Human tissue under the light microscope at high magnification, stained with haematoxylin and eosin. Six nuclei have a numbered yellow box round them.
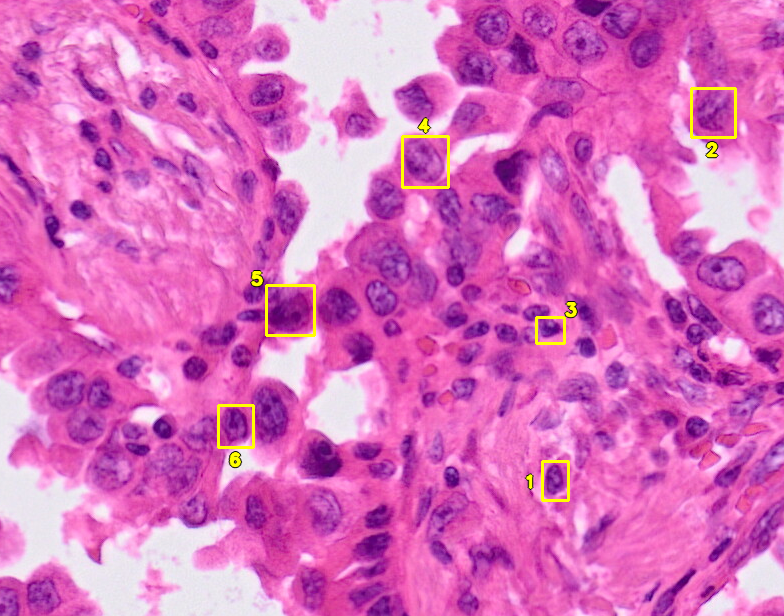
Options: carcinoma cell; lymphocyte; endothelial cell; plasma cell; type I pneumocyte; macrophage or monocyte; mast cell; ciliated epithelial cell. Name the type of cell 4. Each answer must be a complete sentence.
Looking at the numbered marks, cell 4 is a carcinoma cell.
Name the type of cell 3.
Classified as a lymphocyte is the cell with the number 3.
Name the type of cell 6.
In the marked set, the cell given number 6 is a carcinoma cell.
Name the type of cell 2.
The nucleus marked 2 is the nucleus of a carcinoma cell.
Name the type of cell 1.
Number 1 is placed on a plasma cell here.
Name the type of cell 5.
In the tissue shown, cell 5 is a carcinoma cell.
